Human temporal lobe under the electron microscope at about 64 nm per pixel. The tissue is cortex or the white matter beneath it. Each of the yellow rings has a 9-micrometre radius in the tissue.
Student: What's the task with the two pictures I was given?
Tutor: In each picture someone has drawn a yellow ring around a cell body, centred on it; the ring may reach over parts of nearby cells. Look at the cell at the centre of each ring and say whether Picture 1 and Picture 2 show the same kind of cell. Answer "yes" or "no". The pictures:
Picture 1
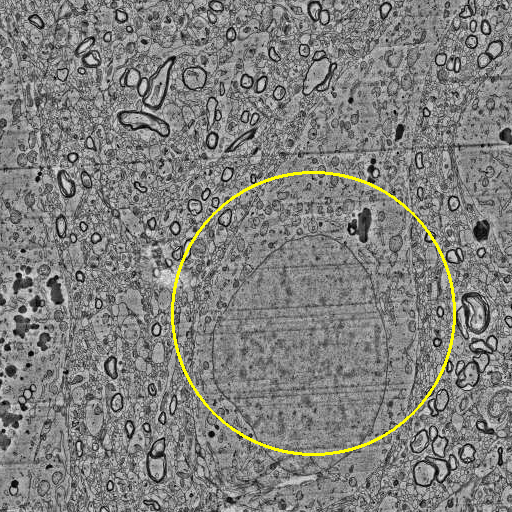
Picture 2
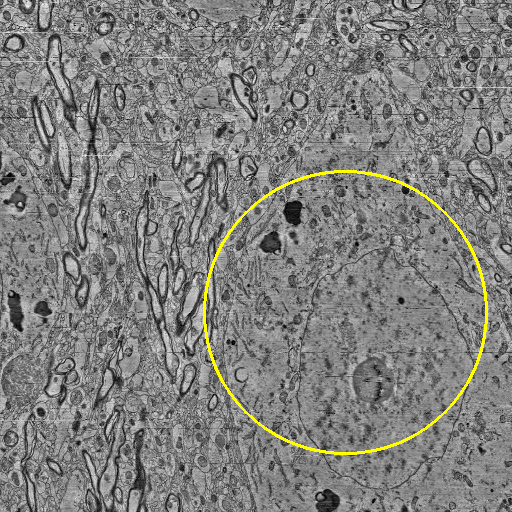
yes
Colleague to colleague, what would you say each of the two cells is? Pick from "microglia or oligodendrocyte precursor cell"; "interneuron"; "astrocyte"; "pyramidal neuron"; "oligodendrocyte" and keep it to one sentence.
Both the first and the second picture show a pyramidal neuron in the ring.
